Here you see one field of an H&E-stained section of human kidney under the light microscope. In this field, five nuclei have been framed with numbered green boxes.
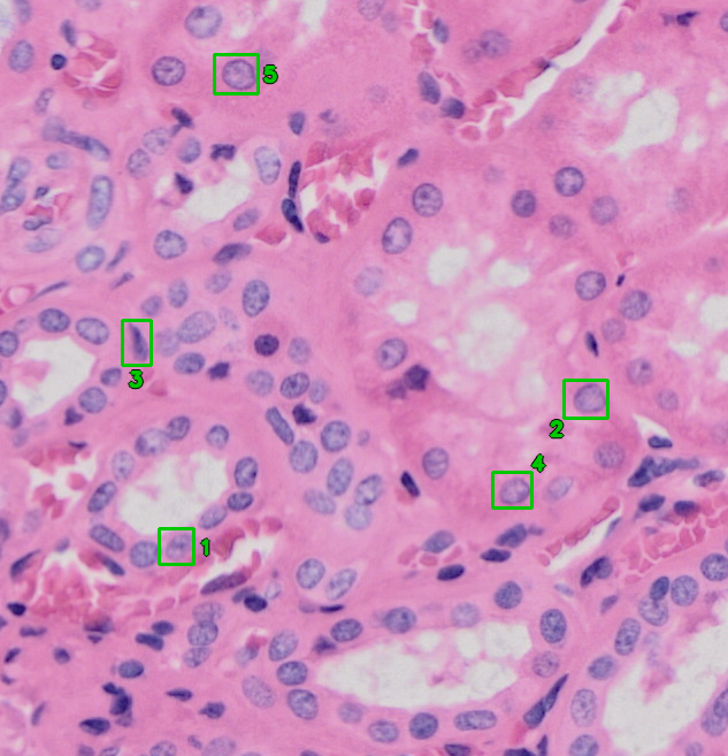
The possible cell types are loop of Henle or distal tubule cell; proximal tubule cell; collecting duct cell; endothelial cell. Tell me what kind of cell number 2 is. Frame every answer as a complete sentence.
Belonging to a proximal tubule cell is the nucleus that carries the number 2.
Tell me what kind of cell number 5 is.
The label 5 in this section denotes a proximal tubule cell.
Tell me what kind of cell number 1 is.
The identity of cell 1 is that of a collecting duct cell.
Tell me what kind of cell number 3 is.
Cell 3 should be recorded as an endothelial cell.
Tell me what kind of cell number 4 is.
The cell given label 4 is a proximal tubule cell.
